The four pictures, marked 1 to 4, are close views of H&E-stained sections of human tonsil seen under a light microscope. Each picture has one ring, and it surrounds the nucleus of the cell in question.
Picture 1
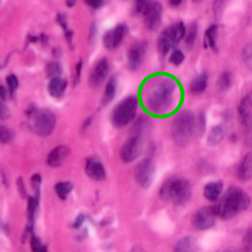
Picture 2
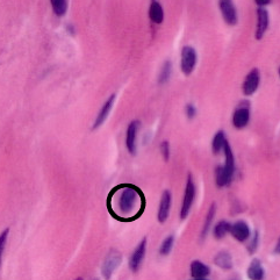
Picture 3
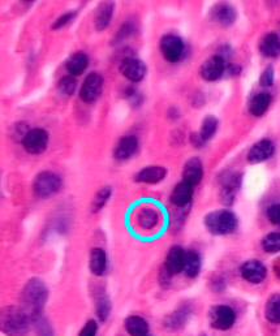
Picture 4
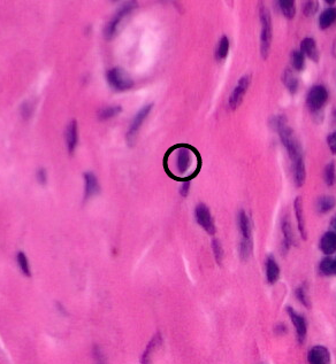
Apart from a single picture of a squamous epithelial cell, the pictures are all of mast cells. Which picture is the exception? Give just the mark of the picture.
1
